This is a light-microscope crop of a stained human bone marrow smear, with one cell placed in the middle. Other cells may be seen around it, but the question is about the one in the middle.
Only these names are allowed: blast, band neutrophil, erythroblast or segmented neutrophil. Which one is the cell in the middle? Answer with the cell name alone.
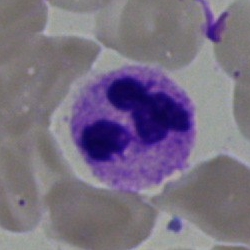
segmented neutrophil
